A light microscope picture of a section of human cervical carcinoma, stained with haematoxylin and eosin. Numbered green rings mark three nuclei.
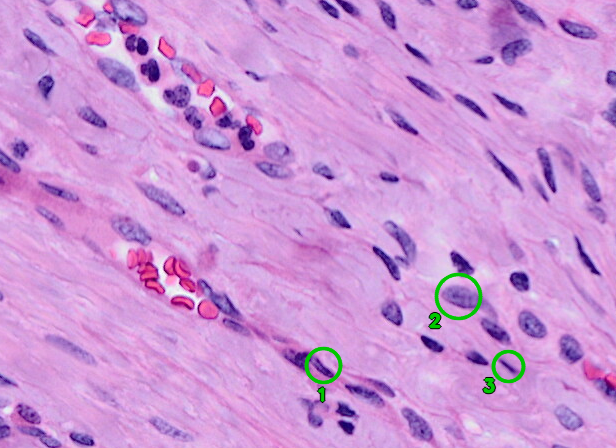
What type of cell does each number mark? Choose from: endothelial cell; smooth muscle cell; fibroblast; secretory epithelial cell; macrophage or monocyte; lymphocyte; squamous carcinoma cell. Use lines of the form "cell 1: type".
cell 1: endothelial cell
cell 2: fibroblast
cell 3: fibroblast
